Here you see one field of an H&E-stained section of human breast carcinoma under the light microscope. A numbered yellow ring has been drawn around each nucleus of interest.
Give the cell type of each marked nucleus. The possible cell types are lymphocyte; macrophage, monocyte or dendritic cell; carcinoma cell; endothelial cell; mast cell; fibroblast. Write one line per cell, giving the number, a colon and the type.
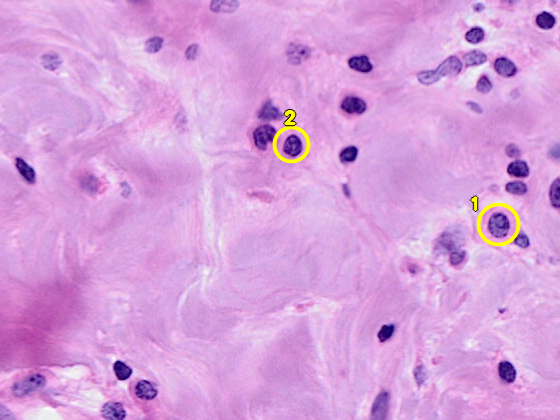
1: mast cell
2: lymphocyte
